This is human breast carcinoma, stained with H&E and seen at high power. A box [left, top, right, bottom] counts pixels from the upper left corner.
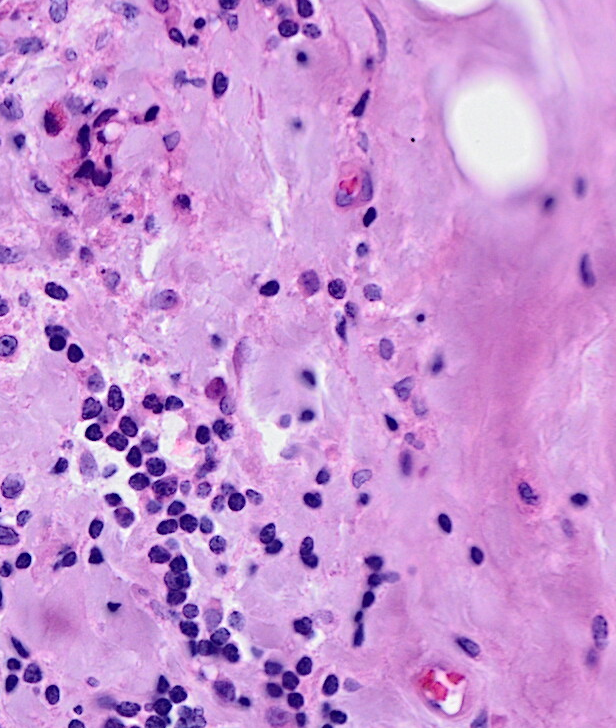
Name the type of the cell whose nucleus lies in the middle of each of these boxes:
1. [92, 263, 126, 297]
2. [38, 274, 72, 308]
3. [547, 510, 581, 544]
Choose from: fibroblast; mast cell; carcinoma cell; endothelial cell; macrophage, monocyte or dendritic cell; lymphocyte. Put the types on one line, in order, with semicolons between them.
macrophage, monocyte or dendritic cell; lymphocyte; fibroblast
